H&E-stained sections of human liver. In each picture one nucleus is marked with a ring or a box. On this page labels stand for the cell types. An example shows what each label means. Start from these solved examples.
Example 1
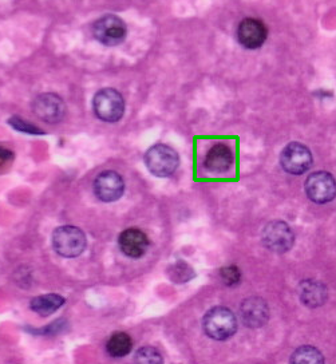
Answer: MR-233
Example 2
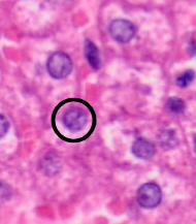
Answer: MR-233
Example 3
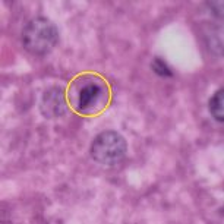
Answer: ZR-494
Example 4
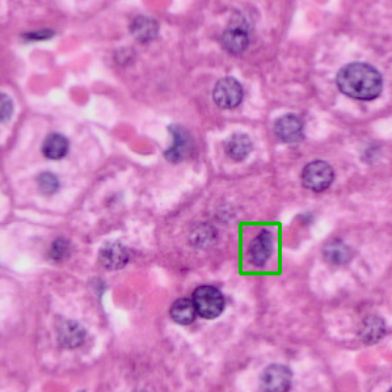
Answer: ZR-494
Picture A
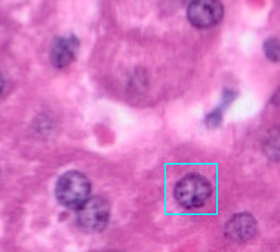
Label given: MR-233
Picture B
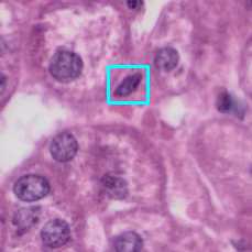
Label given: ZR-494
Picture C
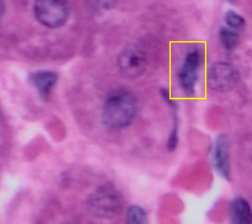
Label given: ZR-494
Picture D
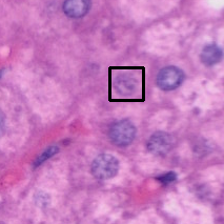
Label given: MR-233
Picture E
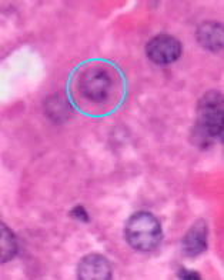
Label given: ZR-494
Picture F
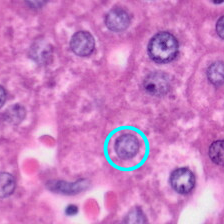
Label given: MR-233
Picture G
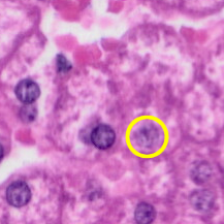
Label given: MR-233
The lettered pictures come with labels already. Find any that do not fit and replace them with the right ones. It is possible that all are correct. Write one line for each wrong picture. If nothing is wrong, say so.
E: MR-233, not ZR-494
